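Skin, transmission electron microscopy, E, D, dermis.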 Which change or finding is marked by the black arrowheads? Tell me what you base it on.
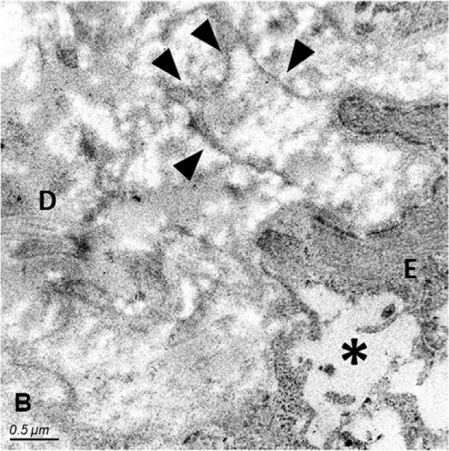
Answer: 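Duplication of the lamina densa. The arrowheads point to thin electron-dense lines lying on the dermal side of the epidermis. More than one such dense line runs through the dermal-epidermal junction region.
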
